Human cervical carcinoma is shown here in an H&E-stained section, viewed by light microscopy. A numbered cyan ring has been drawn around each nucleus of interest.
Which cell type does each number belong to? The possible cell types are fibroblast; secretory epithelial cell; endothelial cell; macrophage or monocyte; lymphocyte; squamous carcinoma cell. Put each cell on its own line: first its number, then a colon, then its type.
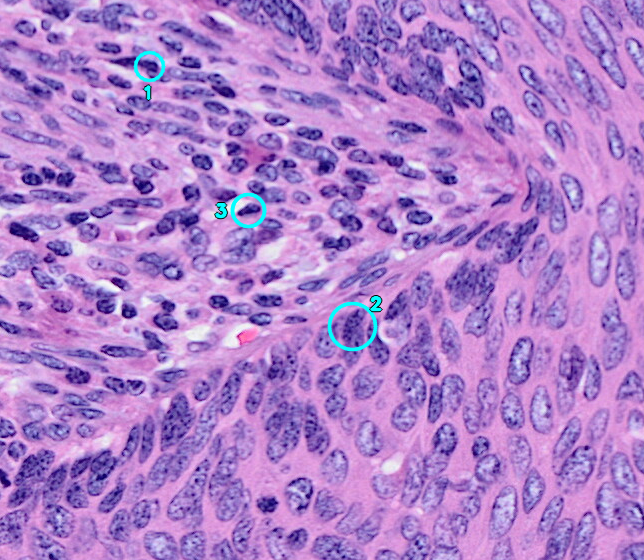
1: lymphocyte
2: squamous carcinoma cell
3: lymphocyte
